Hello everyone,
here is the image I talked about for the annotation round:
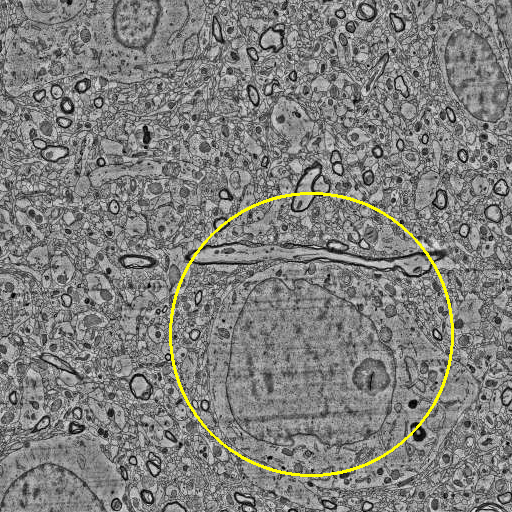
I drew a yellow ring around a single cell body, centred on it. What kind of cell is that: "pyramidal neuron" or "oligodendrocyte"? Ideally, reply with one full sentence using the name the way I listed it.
The cell your yellow ring is centred on is a pyramidal neuron, going by your list.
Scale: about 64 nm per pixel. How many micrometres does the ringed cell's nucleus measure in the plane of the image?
Approximately 11 micrometers across in this plane.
